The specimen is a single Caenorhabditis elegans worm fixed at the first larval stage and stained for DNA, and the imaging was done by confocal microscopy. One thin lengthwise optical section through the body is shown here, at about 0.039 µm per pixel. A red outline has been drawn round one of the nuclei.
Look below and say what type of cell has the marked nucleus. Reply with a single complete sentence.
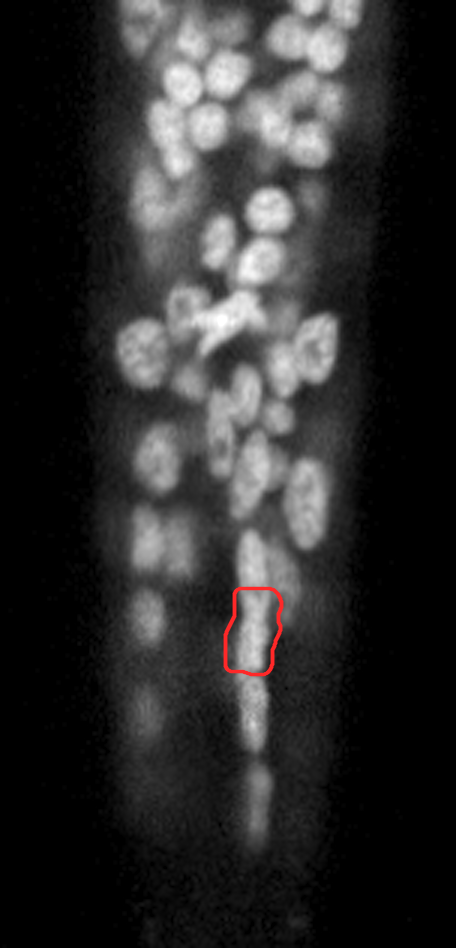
What is marked is the nucleus of a pharyngeal muscle cell.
